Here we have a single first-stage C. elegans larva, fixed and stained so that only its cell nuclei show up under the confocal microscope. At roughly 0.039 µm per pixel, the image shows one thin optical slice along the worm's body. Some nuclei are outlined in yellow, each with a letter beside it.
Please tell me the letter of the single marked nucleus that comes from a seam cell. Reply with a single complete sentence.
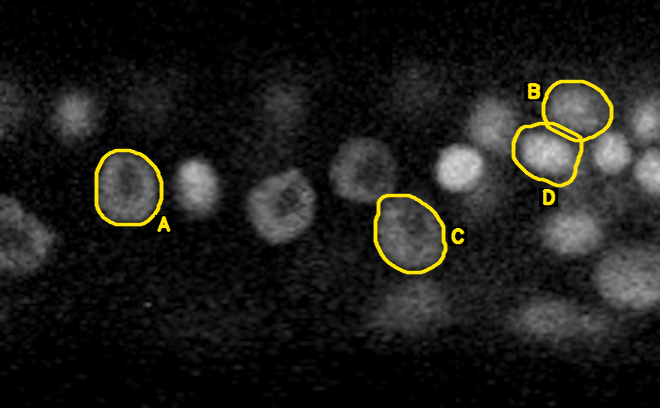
A is from a seam cell.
